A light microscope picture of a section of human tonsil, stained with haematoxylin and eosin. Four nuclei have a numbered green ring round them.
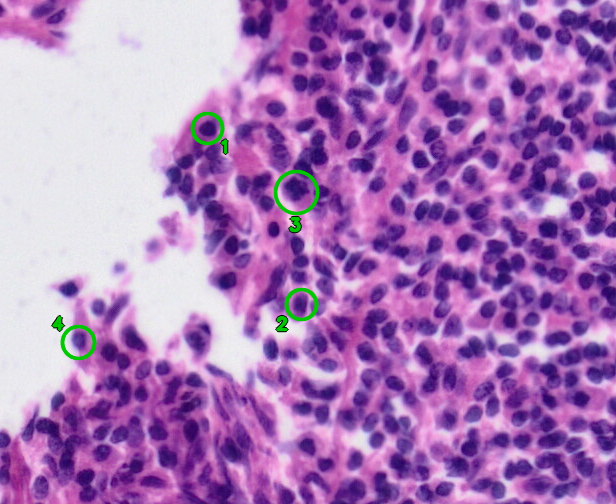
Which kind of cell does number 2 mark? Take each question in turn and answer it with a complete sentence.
The nucleus marked 2 is the nucleus of a plasma cell.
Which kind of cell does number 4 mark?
The correct answer for cell 4 is a plasma cell.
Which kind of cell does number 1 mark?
Belonging to a plasma cell is the nucleus that carries the number 1.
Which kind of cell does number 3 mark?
Looking at the numbered marks, cell 3 is a proliferating B cell.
